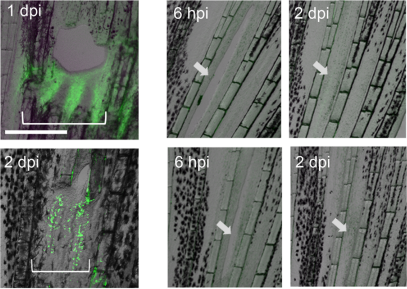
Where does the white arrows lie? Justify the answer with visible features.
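Site of inter-ray injury. The arrows point to tissue between two adjacent bony rays. The arrowed region lies between rays rather than across a ray.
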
